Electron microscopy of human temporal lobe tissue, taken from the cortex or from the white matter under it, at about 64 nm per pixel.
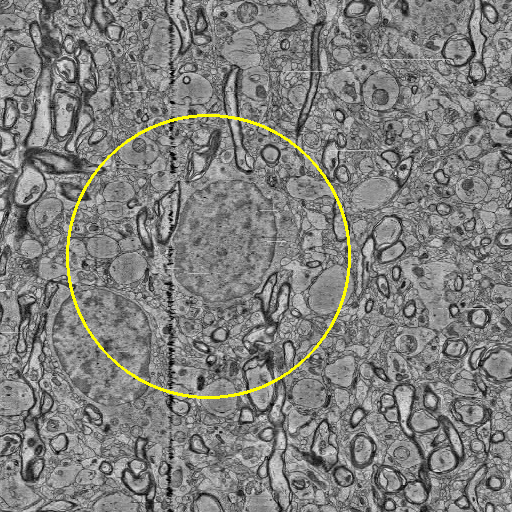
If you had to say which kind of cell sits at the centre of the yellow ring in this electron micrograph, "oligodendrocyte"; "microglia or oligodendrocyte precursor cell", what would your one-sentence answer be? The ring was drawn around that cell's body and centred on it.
The cell sitting at the centre of the ring is an oligodendrocyte.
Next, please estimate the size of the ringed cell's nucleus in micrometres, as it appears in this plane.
About 8 micrometers across, in this plane.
